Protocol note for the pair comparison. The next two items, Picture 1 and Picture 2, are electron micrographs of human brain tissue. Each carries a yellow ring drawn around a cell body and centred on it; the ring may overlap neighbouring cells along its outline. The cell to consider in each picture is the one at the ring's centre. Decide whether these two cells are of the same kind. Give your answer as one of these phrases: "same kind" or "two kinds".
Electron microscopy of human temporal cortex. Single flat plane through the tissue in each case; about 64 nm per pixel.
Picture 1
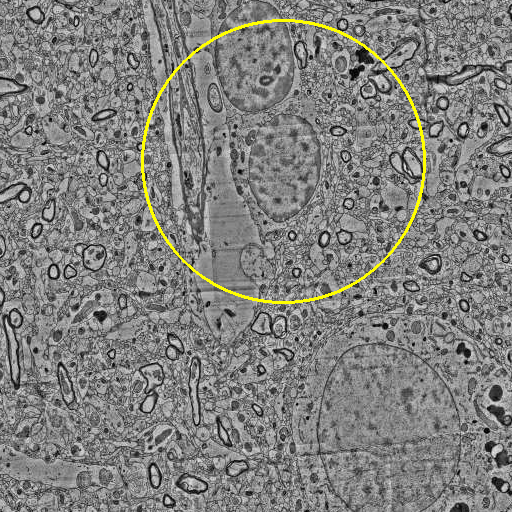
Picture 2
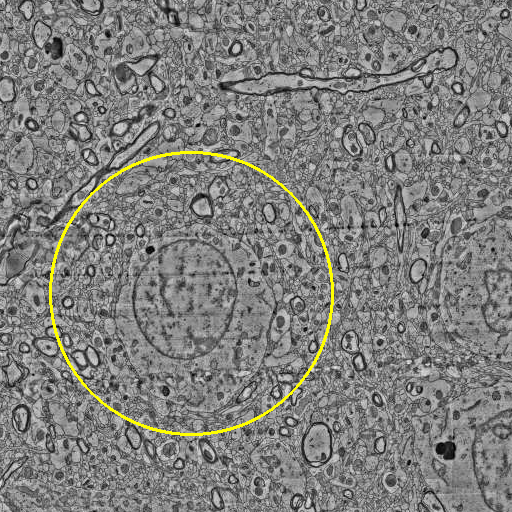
two kinds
